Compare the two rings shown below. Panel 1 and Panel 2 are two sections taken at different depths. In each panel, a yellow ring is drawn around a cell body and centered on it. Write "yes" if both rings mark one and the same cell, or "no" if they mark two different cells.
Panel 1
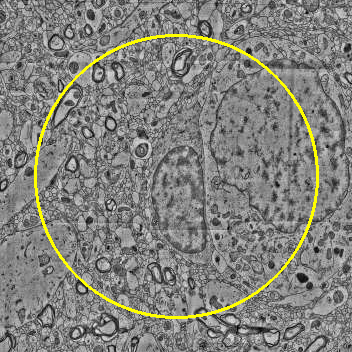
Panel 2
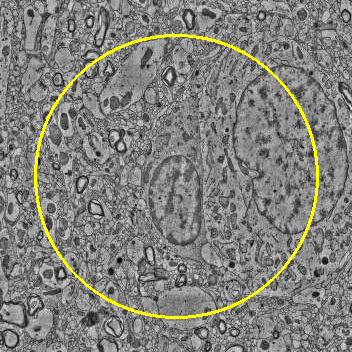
yes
